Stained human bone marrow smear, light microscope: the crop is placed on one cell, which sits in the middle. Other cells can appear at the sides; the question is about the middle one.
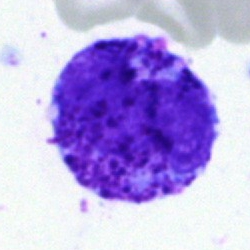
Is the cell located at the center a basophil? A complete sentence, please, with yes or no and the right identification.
Yes, in this crop the cell in the middle is a basophil.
